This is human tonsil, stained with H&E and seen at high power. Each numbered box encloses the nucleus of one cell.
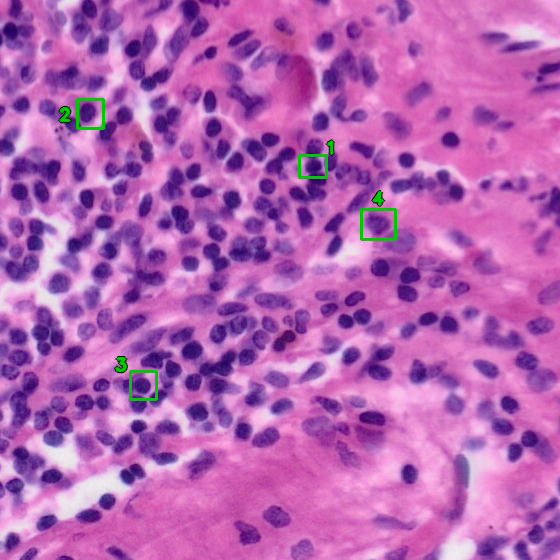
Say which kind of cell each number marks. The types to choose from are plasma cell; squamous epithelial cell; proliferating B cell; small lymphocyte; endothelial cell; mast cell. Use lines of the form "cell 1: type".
cell 1: small lymphocyte
cell 2: plasma cell
cell 3: small lymphocyte
cell 4: endothelial cell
